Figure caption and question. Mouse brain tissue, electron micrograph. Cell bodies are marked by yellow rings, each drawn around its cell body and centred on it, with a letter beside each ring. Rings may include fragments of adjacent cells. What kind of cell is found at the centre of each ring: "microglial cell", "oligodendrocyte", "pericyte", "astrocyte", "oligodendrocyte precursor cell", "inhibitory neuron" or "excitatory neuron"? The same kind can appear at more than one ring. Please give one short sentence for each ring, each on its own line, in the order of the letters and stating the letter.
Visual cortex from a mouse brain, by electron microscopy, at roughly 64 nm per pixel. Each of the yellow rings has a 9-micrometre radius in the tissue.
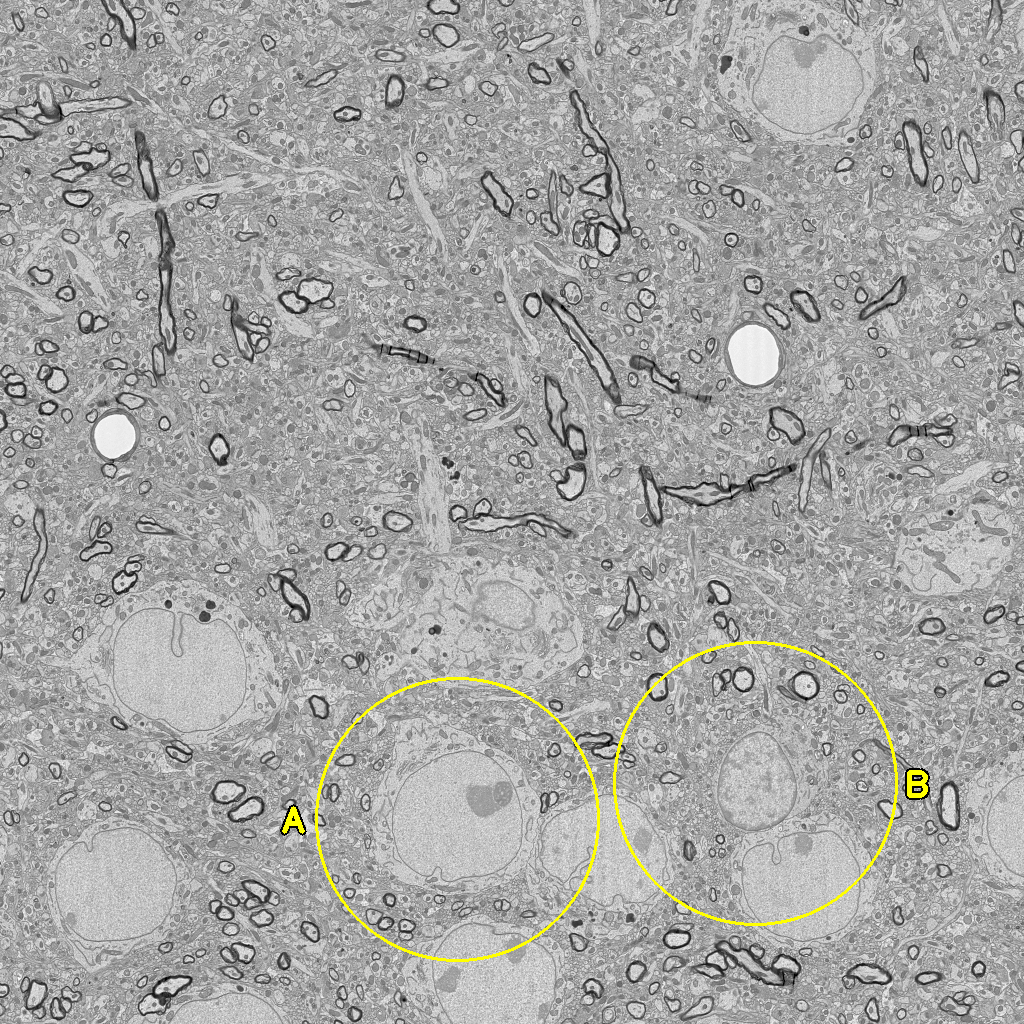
The centre of ring A falls on an excitatory neuron.
The centre of ring B falls on an oligodendrocyte.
